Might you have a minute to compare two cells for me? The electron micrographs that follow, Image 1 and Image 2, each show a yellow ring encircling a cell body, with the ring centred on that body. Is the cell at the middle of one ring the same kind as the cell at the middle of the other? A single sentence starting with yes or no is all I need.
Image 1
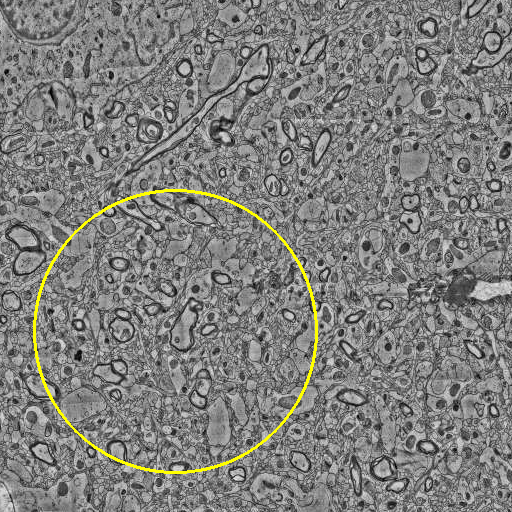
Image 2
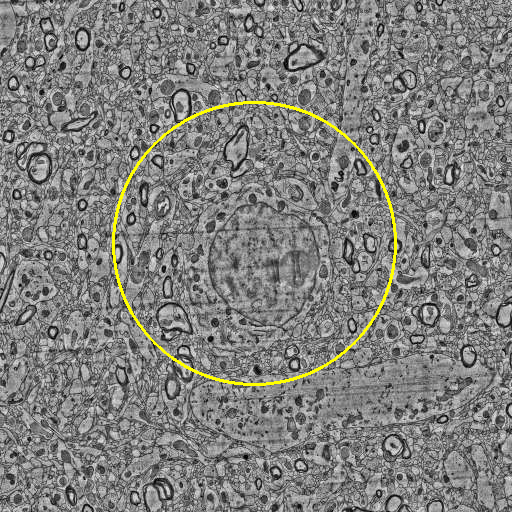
No, the cells in the middle of the two rings are of two separate kinds.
